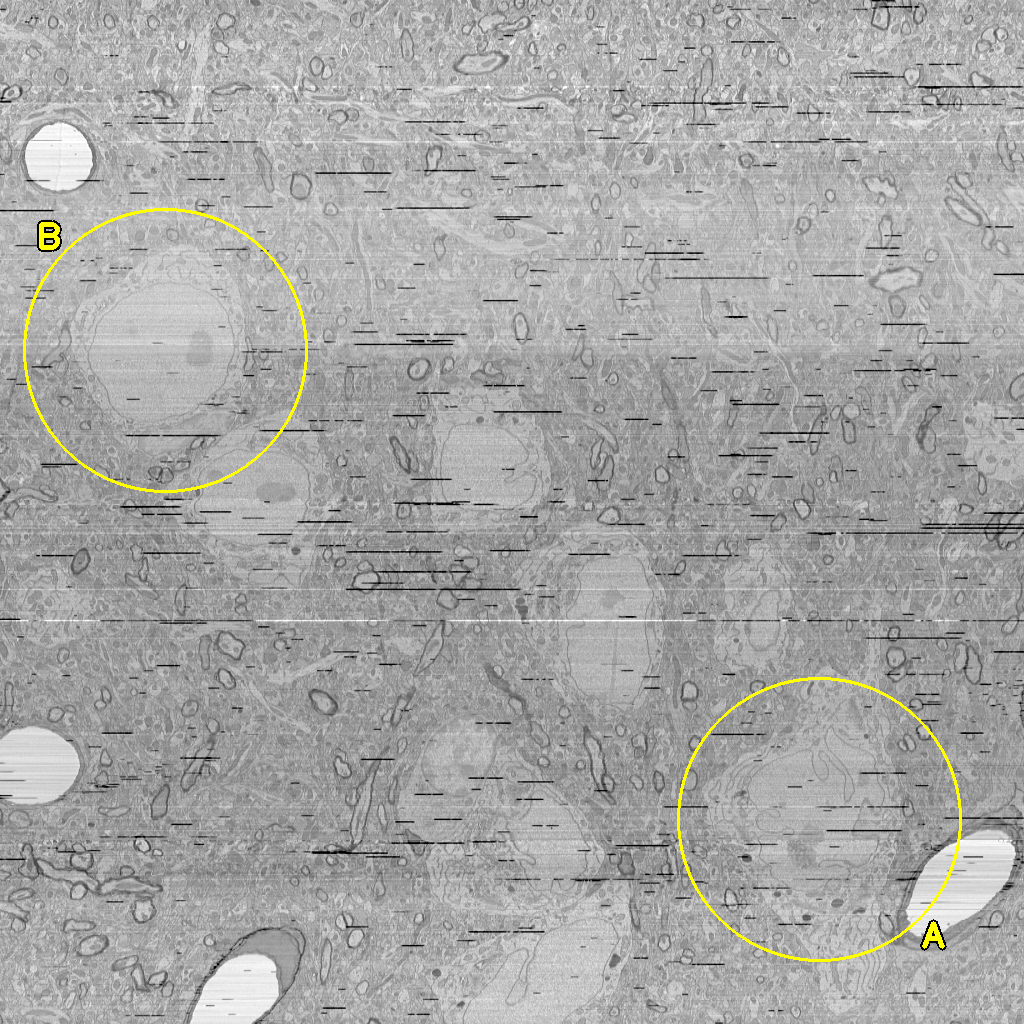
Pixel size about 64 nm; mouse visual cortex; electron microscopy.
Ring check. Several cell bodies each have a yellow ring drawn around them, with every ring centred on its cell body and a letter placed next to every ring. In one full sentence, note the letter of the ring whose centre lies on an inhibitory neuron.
At the centre of ring A lies the cell asked for in this check.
